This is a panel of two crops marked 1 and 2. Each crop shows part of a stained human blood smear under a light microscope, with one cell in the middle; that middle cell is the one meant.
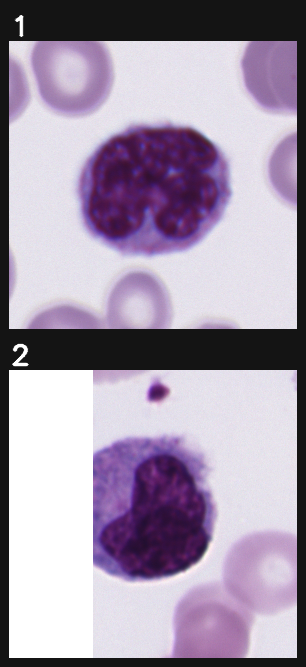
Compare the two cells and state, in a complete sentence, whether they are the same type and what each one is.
Yes, as an answer for this item, both crops show monocytes.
